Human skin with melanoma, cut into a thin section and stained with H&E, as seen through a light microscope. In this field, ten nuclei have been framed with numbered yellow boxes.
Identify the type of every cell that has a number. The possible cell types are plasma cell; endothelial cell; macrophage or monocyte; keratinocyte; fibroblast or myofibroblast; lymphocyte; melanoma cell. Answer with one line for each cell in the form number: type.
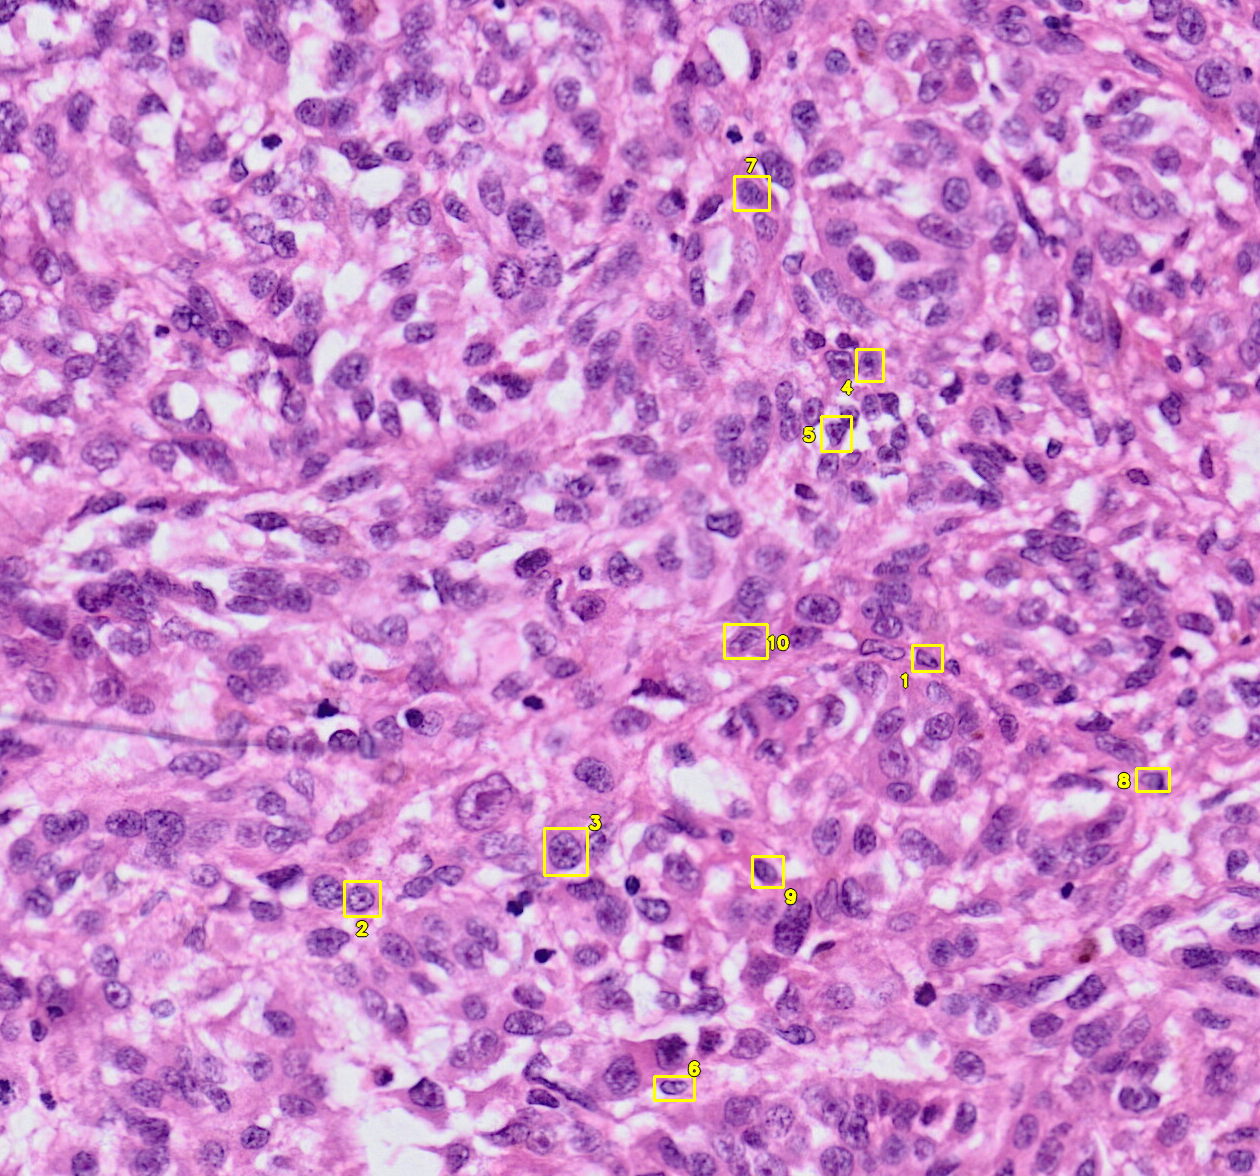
1: macrophage or monocyte
2: melanoma cell
3: melanoma cell
4: melanoma cell
5: melanoma cell
6: macrophage or monocyte
7: melanoma cell
8: macrophage or monocyte
9: macrophage or monocyte
10: melanoma cell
